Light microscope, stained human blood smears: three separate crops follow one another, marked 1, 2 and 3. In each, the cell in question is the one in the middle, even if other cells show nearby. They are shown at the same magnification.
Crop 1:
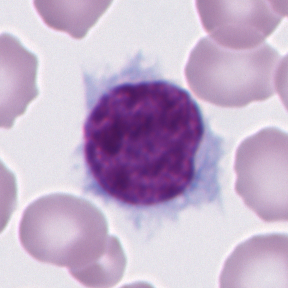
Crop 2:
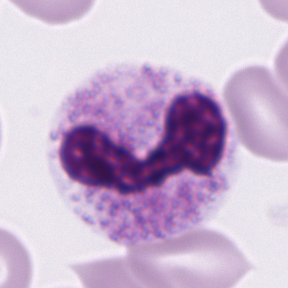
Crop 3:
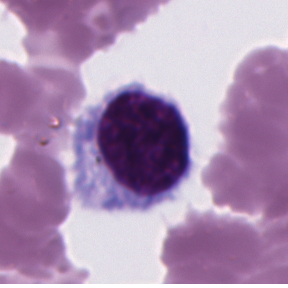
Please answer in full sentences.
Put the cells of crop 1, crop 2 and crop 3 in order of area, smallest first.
The order is 3, 1, 2, beginning with the smallest.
